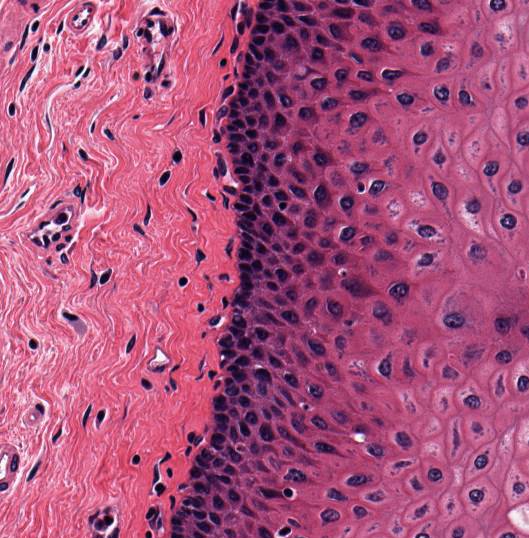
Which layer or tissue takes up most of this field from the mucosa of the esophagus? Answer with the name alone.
stratified squamous nonkeratinized epithelium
